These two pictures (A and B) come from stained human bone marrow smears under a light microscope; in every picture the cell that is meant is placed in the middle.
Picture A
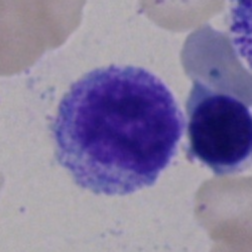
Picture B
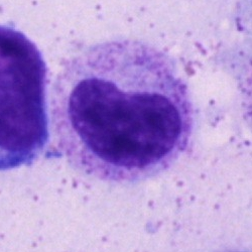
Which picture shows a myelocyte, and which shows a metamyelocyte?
A: myelocyte
B: metamyelocyte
